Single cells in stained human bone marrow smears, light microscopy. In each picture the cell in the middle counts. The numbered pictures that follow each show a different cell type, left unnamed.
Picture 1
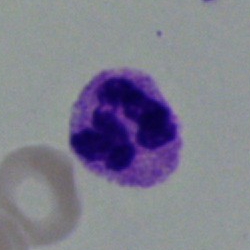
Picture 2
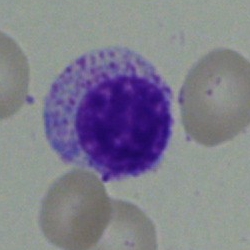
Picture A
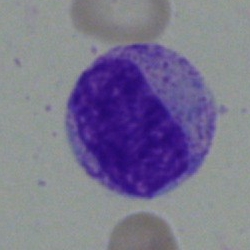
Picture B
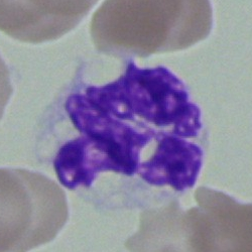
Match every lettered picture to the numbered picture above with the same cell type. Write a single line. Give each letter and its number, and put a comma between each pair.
A 2, B 1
